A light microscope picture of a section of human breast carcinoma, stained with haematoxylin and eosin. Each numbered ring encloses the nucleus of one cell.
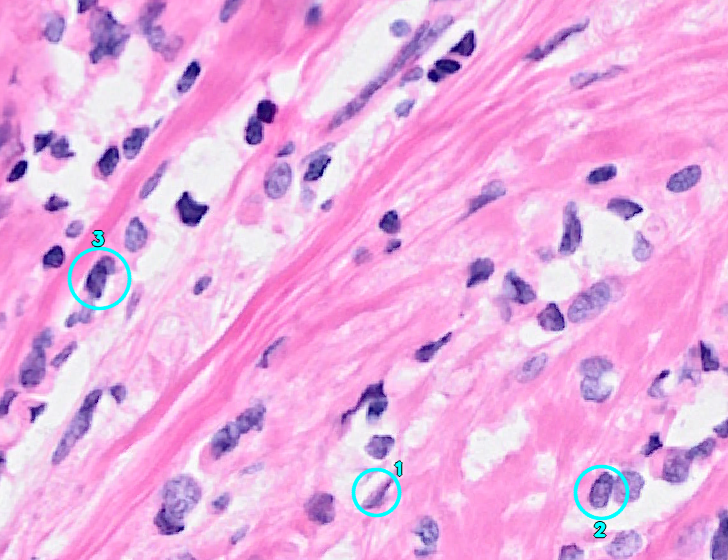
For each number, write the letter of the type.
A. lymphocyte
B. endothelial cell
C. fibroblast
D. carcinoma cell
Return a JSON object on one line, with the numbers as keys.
{"1": "C", "2": "D", "3": "A"}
